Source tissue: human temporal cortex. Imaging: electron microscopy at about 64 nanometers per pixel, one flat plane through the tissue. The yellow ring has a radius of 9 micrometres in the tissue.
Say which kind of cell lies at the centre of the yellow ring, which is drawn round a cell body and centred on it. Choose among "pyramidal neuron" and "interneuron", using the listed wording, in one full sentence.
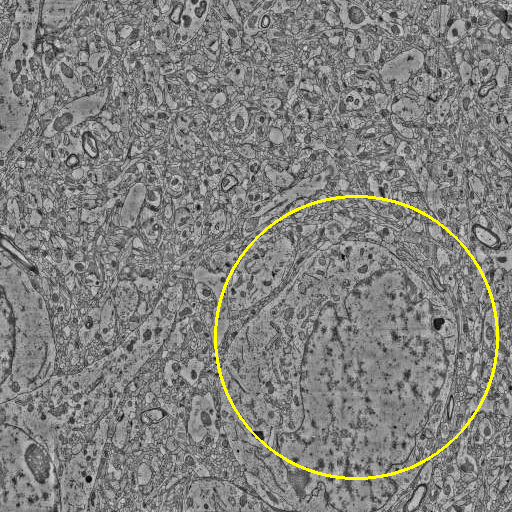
Going by the list, the cell at the yellow ring's centre is an interneuron.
